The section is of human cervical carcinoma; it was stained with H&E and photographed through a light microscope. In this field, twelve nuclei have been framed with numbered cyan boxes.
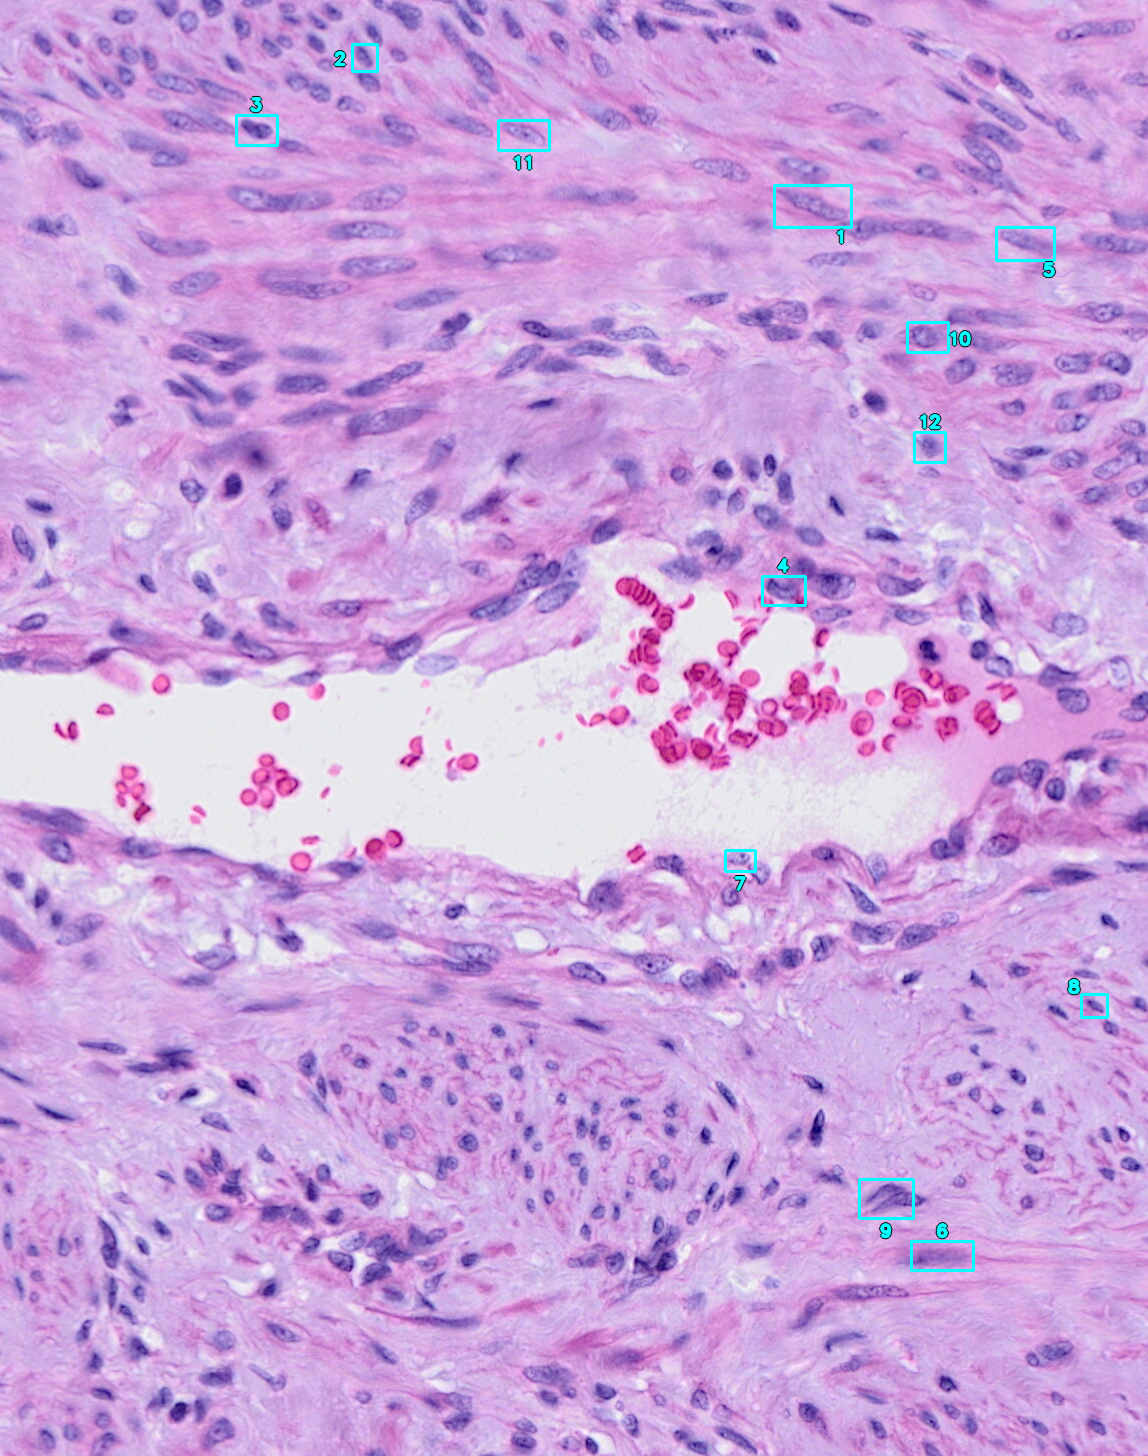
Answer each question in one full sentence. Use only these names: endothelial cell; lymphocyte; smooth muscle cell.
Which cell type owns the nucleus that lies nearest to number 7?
It is an endothelial cell whose nucleus is nearest to number 7.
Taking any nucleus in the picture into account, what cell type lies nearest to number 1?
Closest to number 1 lies the nucleus of a smooth muscle cell.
